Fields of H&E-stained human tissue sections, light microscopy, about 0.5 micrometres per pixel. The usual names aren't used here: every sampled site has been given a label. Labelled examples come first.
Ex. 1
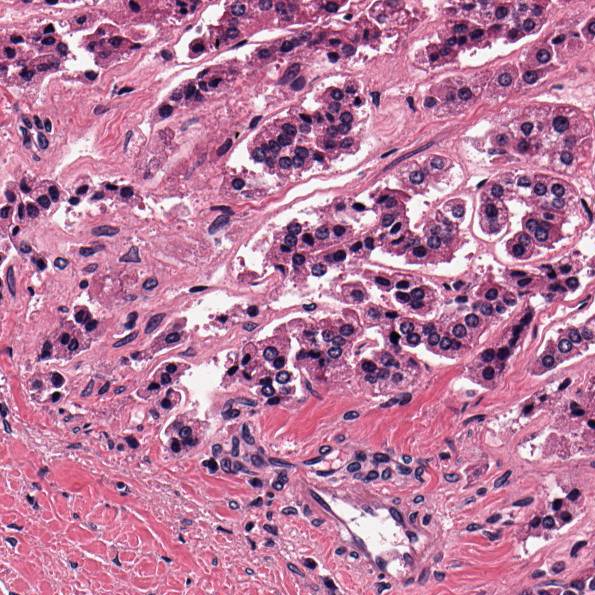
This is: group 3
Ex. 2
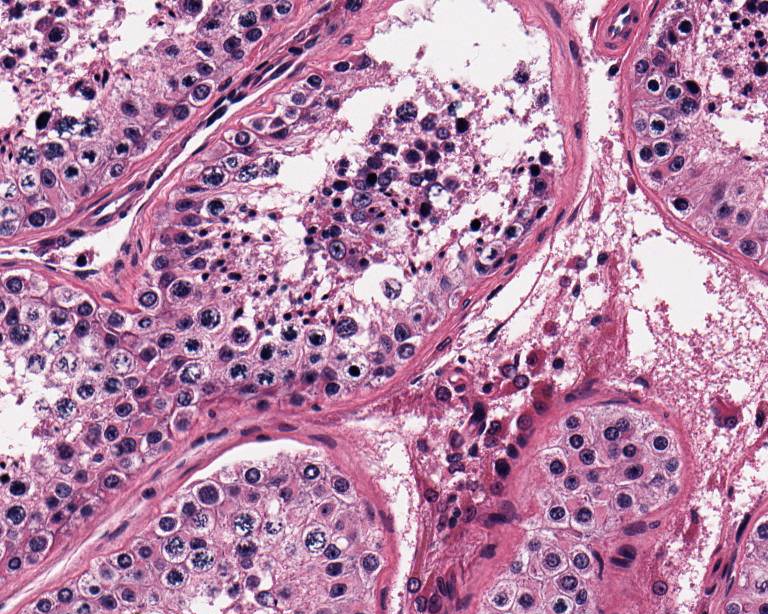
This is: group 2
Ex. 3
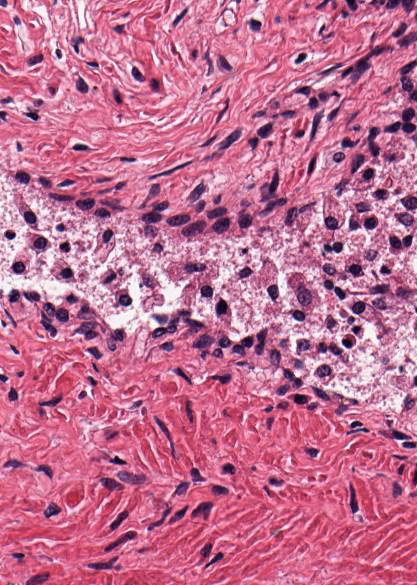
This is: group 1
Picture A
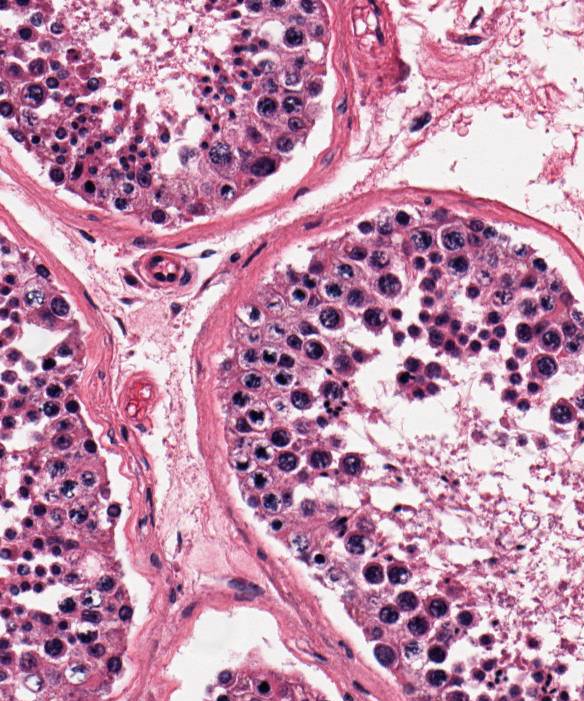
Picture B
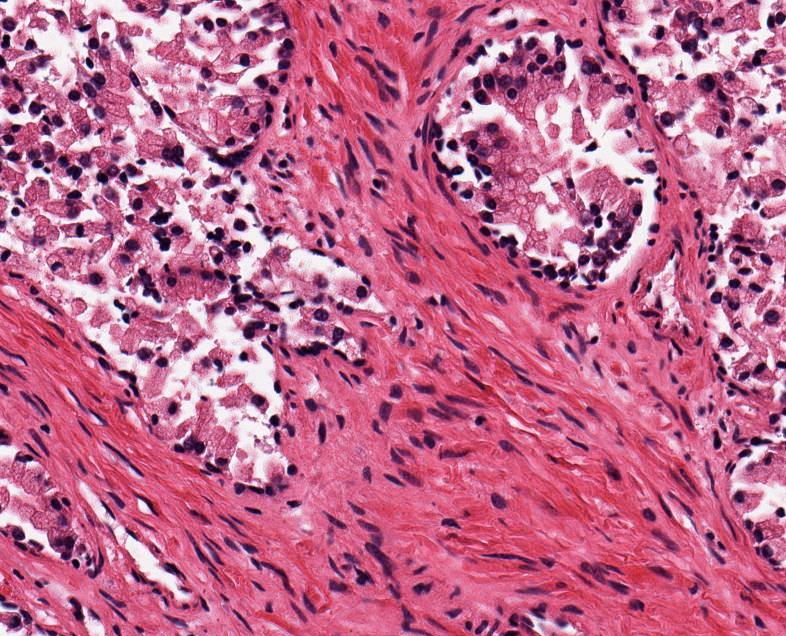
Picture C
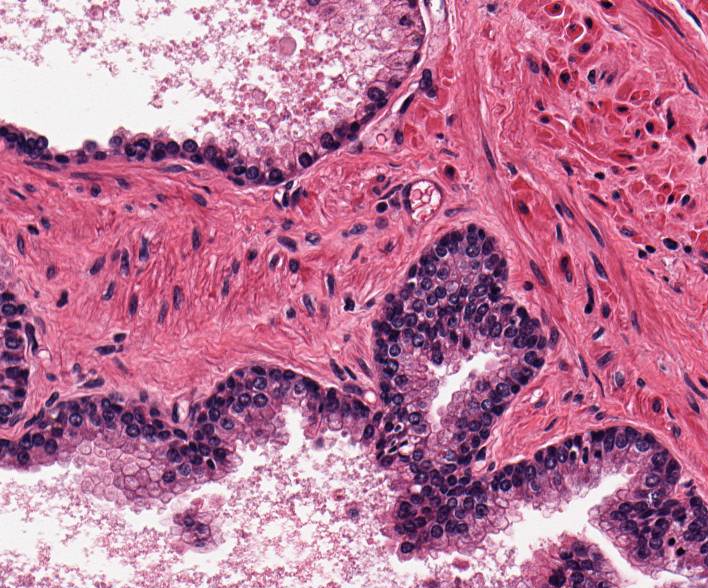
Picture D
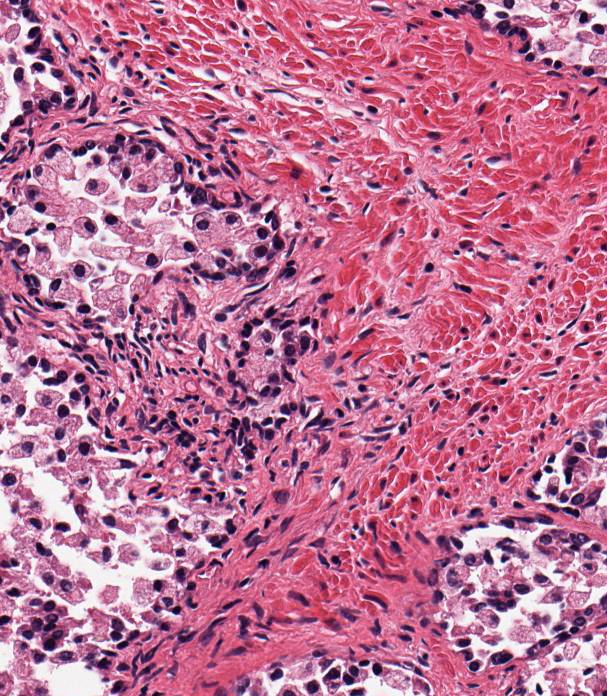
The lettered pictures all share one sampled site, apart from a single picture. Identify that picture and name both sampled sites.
Exception: A, showing group 2. Remaining pictures: group 1.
